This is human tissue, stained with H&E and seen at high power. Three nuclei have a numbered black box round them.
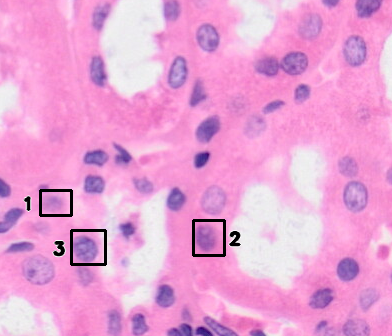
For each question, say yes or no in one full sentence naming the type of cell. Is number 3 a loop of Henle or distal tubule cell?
Yes, so the cell at label 3 is a loop of Henle or distal tubule cell.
